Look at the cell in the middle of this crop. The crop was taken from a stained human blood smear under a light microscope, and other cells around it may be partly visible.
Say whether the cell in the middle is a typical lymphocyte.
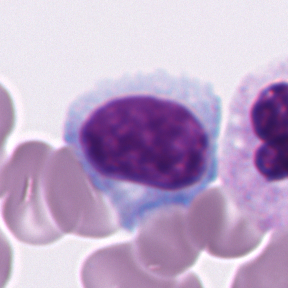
yes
